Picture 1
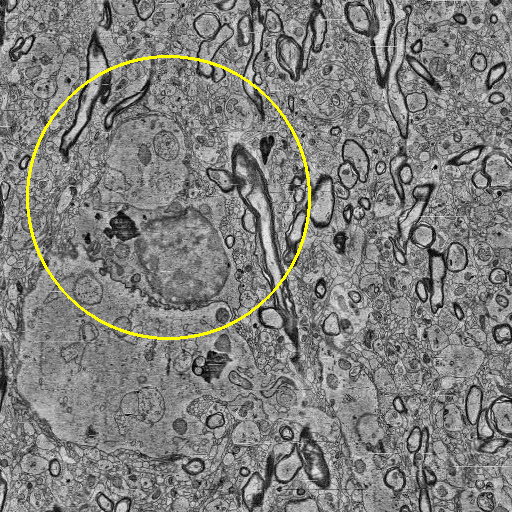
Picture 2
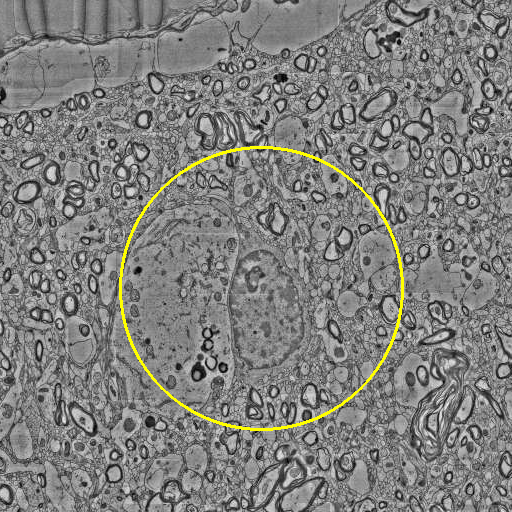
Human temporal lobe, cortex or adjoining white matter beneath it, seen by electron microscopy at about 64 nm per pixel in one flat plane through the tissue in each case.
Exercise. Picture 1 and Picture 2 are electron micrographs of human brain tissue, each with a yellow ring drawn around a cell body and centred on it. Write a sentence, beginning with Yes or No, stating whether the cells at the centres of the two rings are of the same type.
Yes, the cells at the centres of both rings are of the same type.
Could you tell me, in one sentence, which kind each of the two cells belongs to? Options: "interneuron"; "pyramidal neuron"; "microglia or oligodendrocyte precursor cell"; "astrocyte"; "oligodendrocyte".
Each cell, in the first picture and the second, is an oligodendrocyte.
